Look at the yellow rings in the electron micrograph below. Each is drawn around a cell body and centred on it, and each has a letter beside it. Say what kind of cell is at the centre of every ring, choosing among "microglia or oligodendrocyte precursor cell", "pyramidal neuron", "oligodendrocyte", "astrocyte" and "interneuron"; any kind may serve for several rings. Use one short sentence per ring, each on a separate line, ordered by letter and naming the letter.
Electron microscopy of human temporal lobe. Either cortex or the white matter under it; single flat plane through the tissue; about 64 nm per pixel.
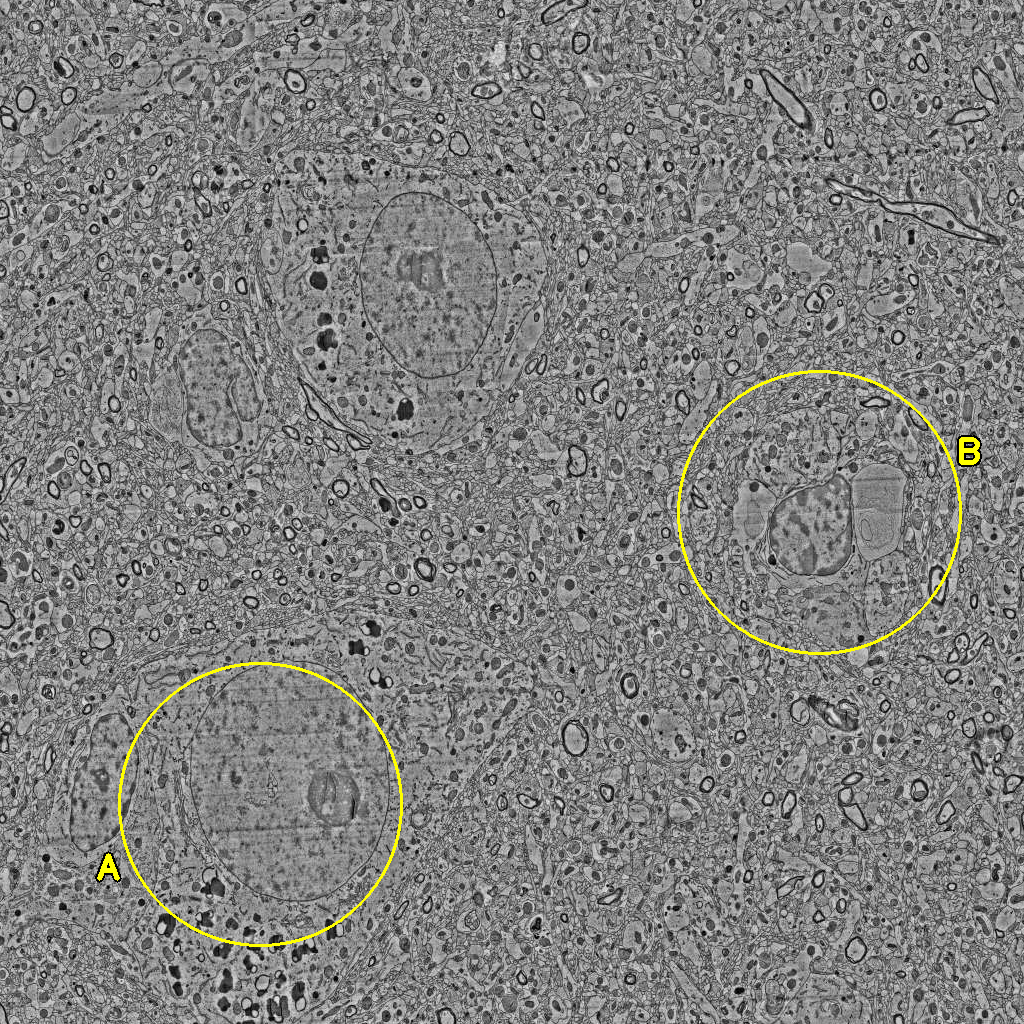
Ring A encircles a pyramidal neuron.
Ring B encircles a microglial cell or oligodendrocyte precursor cell.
